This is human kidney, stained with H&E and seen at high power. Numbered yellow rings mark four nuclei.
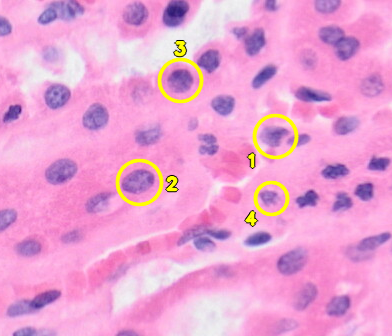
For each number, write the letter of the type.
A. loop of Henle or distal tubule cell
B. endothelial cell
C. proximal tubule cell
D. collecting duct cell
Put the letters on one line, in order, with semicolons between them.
B; C; A; A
